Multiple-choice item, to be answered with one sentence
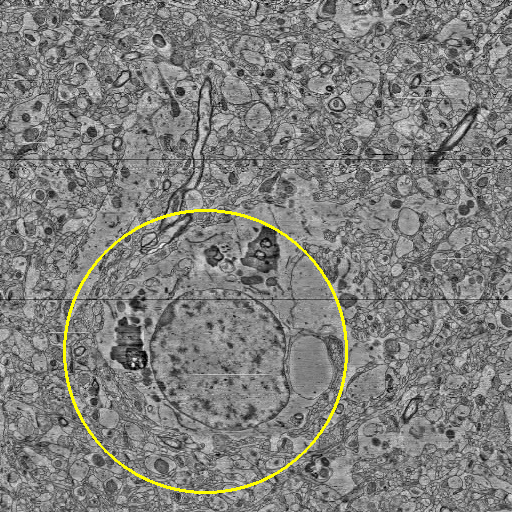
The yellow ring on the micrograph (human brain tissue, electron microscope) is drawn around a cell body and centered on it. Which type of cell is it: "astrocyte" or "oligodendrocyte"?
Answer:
The ring is centered on an astrocyte.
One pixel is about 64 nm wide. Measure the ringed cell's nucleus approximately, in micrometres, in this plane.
The nucleus is about 9 micrometres across in this plane.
